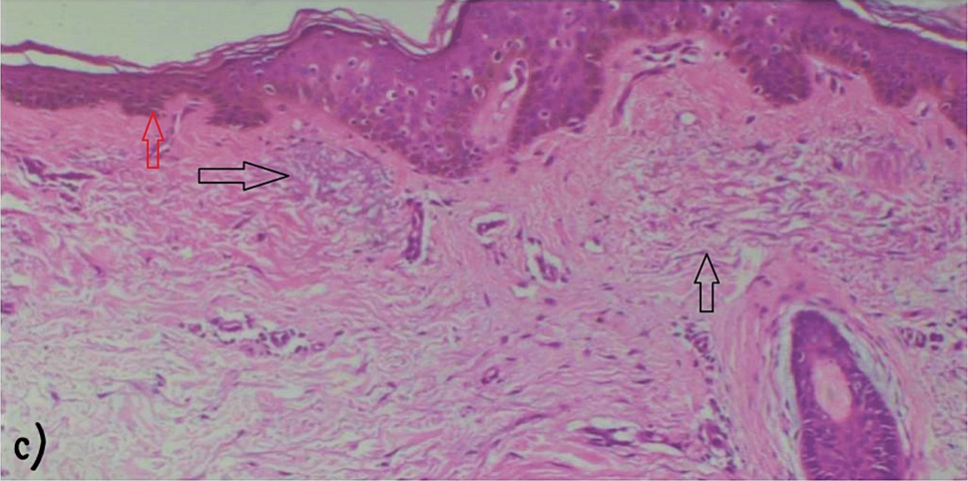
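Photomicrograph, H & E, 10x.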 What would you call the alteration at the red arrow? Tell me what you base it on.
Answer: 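The red arrow points to the bottom row of cells of the epidermis, next to the pale pink dermis. The cells at the base of the epidermis stain darker than the layers above them. So: basal layer hyperpigmentation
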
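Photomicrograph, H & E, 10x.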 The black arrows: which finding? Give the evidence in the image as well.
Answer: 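The black arrows point into the dermis below the epidermis. The fibres where the arrows point are bluish-purple, set among pink collagen. That points to this answer: Basophilic changes in collagen bundles.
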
